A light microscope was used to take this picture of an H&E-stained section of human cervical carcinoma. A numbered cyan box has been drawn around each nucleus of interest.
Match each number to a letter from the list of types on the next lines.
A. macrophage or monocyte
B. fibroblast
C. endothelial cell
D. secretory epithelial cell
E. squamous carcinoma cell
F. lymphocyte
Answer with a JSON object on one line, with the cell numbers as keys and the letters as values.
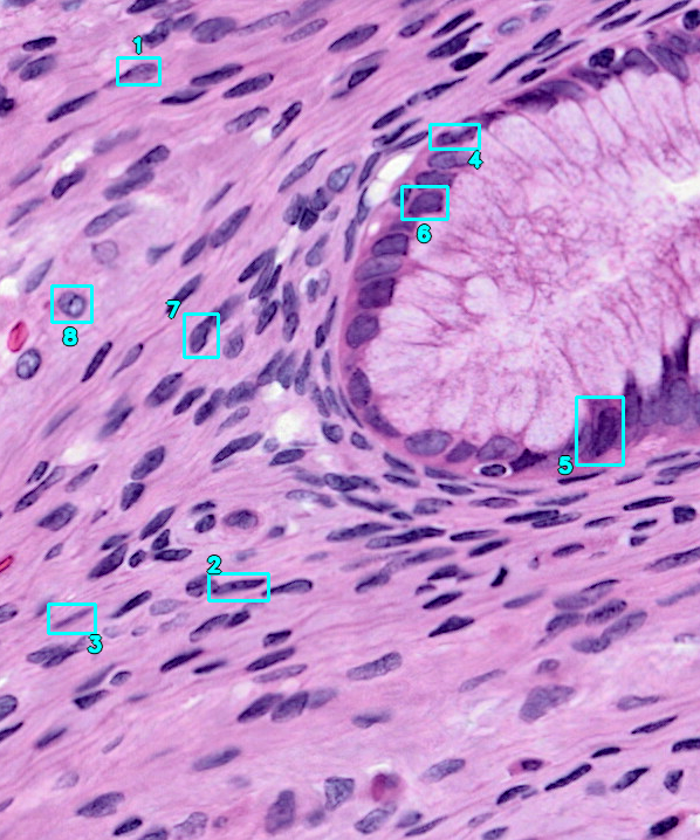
{"1": "B", "2": "B", "3": "B", "4": "D", "5": "D", "6": "D", "7": "B", "8": "C"}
